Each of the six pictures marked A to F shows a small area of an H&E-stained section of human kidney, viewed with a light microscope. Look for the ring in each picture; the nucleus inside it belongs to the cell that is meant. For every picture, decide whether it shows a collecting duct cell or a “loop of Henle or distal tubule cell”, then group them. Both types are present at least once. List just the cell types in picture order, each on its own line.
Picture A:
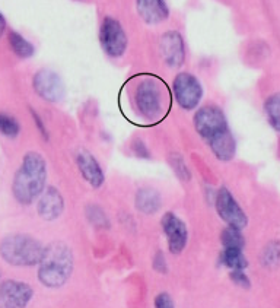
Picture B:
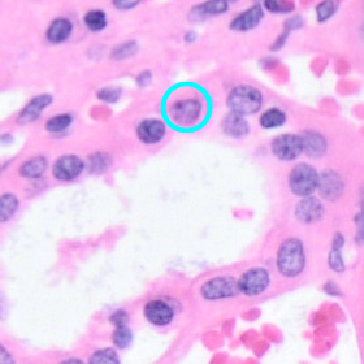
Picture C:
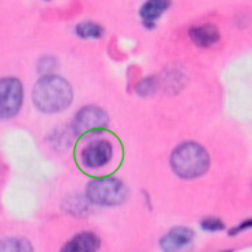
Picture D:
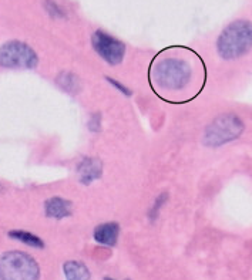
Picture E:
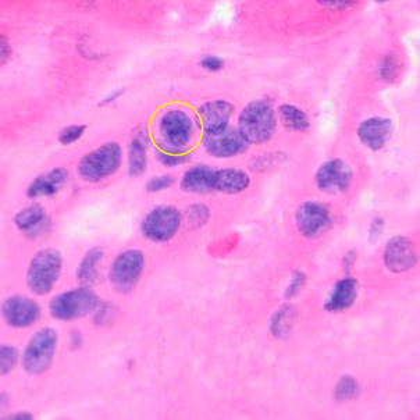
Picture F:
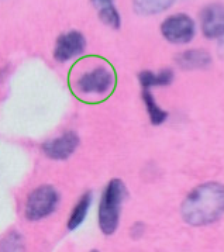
loop of Henle or distal tubule cell
collecting duct cell
collecting duct cell
loop of Henle or distal tubule cell
collecting duct cell
loop of Henle or distal tubule cell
